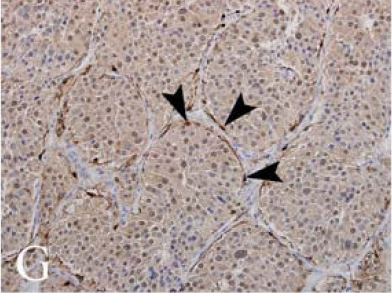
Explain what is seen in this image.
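Along the edges of the nests lie slender, elongated cells stained dark brown, the sustentacular cells, wrapping around each cluster. The tumor cells within the nests have round nuclei and show only pale brown staining.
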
